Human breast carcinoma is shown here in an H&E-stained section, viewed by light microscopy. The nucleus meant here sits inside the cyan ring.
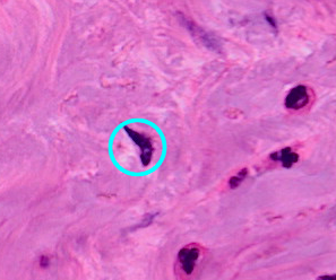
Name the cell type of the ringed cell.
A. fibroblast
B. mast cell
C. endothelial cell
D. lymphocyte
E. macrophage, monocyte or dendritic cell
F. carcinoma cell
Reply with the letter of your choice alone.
A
